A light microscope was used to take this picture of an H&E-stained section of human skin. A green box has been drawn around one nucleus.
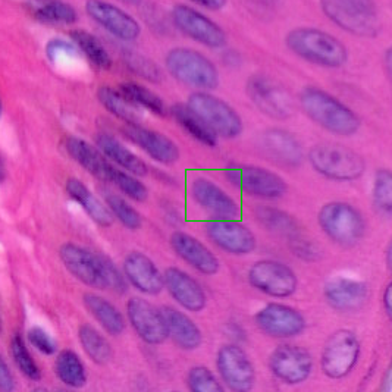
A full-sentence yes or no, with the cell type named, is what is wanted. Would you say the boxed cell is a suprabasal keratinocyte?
Yes, regarding cell type, the boxed cell is a suprabasal keratinocyte.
